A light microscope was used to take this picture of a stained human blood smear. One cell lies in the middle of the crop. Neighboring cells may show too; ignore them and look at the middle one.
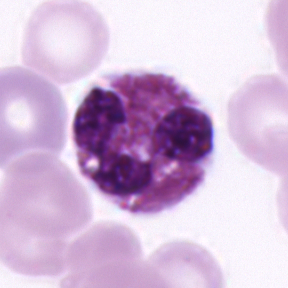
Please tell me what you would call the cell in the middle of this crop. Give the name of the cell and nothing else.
eosinophil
